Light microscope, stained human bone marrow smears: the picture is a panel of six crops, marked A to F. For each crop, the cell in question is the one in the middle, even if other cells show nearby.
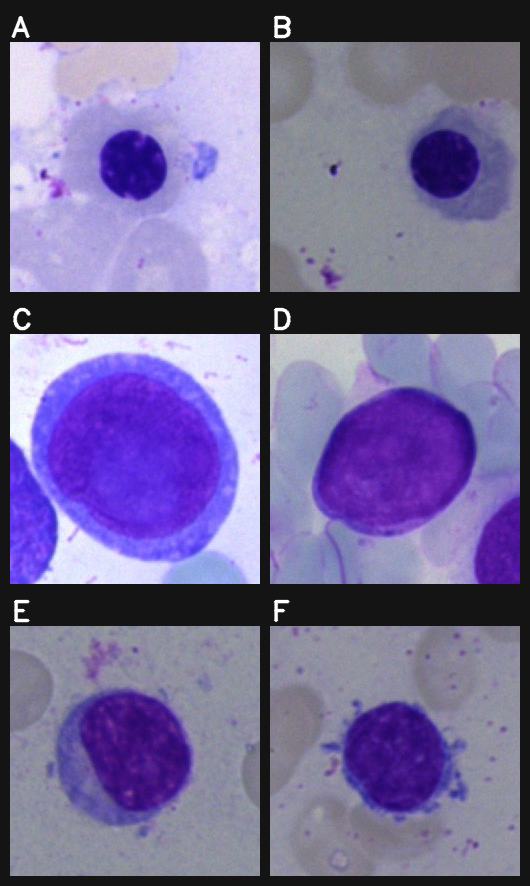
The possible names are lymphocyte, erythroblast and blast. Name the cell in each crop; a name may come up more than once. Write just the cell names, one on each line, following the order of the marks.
erythroblast
erythroblast
blast
blast
lymphocyte
lymphocyte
